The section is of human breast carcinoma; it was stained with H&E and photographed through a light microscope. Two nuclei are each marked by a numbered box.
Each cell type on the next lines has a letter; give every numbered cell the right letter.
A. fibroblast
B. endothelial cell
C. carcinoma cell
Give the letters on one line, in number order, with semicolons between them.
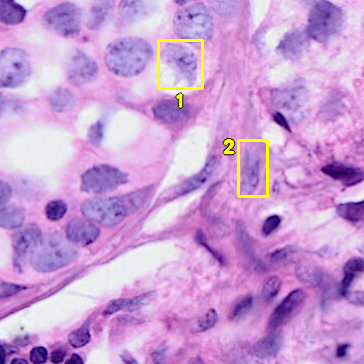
C; A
